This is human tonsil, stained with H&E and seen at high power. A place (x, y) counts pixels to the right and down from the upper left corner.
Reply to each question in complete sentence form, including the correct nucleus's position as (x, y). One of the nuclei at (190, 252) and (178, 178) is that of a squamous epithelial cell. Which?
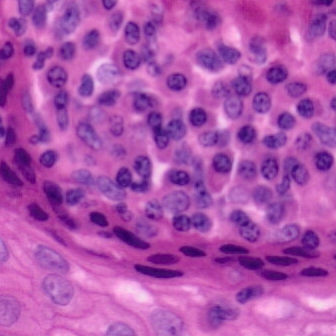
Only the nucleus at (190, 252), of the two, belongs to a squamous epithelial cell.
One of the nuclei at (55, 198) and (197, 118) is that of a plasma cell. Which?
The nucleus whose cell is a plasma cell is the one at (197, 118).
